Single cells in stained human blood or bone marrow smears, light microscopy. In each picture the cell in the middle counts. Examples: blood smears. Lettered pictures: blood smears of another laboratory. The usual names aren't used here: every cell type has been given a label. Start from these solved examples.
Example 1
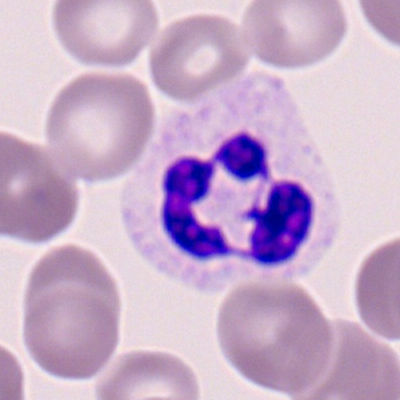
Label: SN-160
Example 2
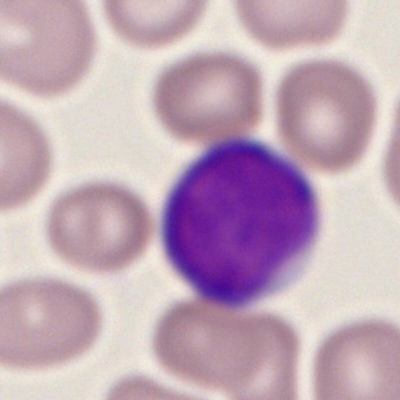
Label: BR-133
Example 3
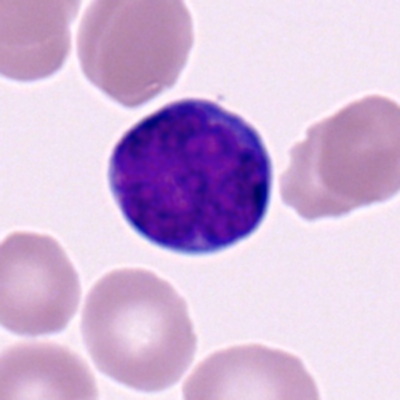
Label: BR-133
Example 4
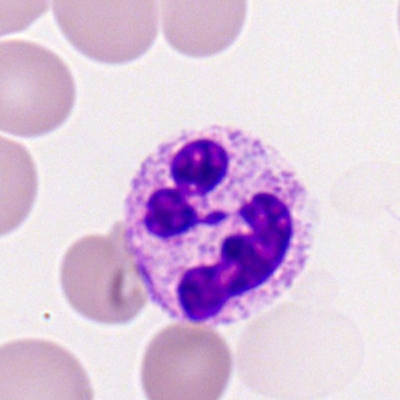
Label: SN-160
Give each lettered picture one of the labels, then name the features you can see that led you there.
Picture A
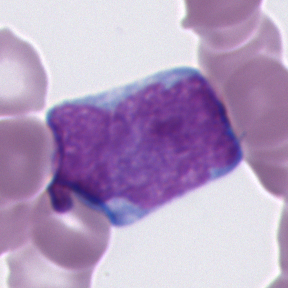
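BR-133. Reason: The cytoplasm forms only a thin rim around the nucleus.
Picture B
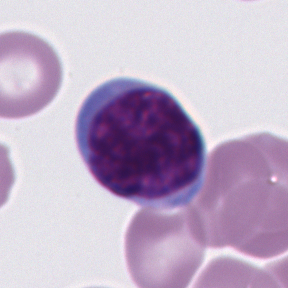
BR-133. Reason: The cytoplasm forms a narrow crescent that is widest on the upper left side.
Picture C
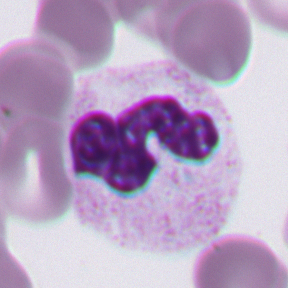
SN-160. Reason: The cytoplasm is plentiful and pale pink.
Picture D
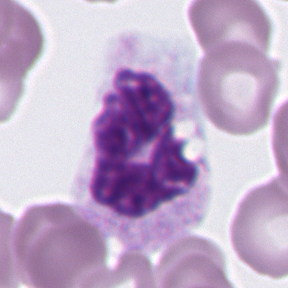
SN-160. Reason: The nucleus is irregular and folded, with overlapping lobes.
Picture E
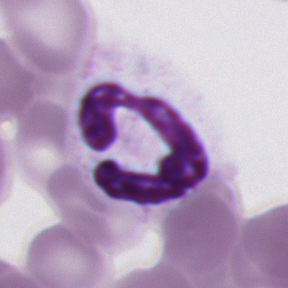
SN-160. Reason: The nucleus is a single thick curved band bent into a C shape.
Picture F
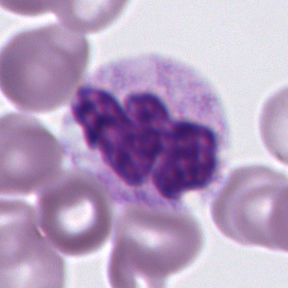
SN-160. Reason: The nucleus is divided into several lobes joined in a row across the cell.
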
